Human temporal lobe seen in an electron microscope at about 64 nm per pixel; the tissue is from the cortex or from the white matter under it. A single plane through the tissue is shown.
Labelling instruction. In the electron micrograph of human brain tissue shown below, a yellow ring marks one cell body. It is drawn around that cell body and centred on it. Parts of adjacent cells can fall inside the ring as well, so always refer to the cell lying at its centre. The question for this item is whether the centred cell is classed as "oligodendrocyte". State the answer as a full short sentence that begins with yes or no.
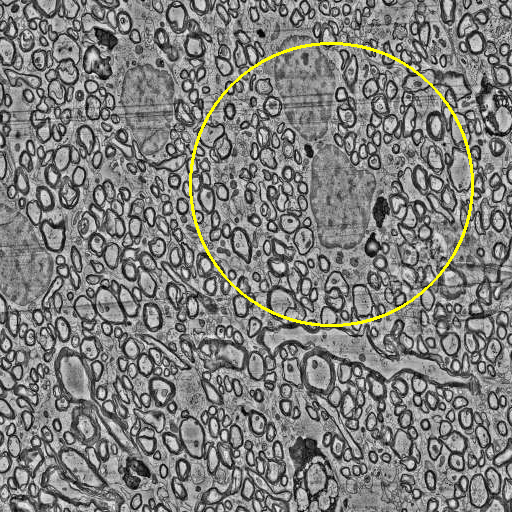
Yes, the centred cell is of that class.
